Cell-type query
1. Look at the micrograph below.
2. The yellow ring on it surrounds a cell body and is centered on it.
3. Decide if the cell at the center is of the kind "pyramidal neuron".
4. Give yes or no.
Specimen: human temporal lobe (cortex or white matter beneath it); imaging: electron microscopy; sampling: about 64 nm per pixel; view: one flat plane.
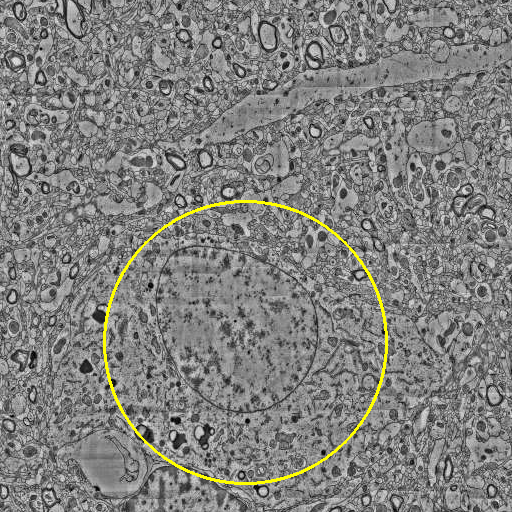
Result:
yes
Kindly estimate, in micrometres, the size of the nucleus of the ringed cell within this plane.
About 12 by 10 micrometers, in this plane.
